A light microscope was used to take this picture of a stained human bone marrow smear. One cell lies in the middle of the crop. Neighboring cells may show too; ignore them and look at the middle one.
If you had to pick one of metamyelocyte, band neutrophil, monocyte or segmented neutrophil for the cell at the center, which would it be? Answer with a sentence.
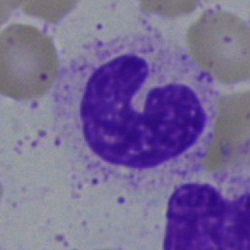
The target cell in the middle of the crop is a band neutrophil.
